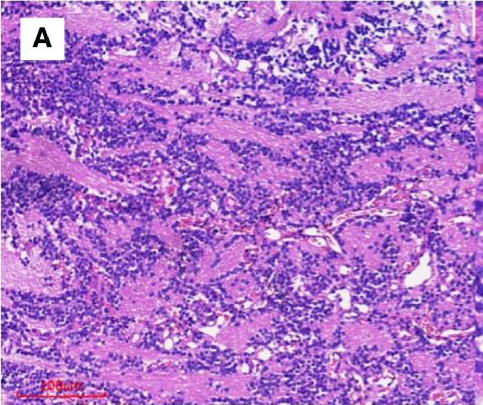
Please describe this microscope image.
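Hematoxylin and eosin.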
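A monomorphic neoplasia at low magnification, formed by rows of cell clusters separated by neuropil islands. Dense bands and clusters of small cells with dark purple round nuclei run in irregular, branching rows across the field. Scattered small vessels containing red blood cells and a few small clear spaces are seen among the cell rows.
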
